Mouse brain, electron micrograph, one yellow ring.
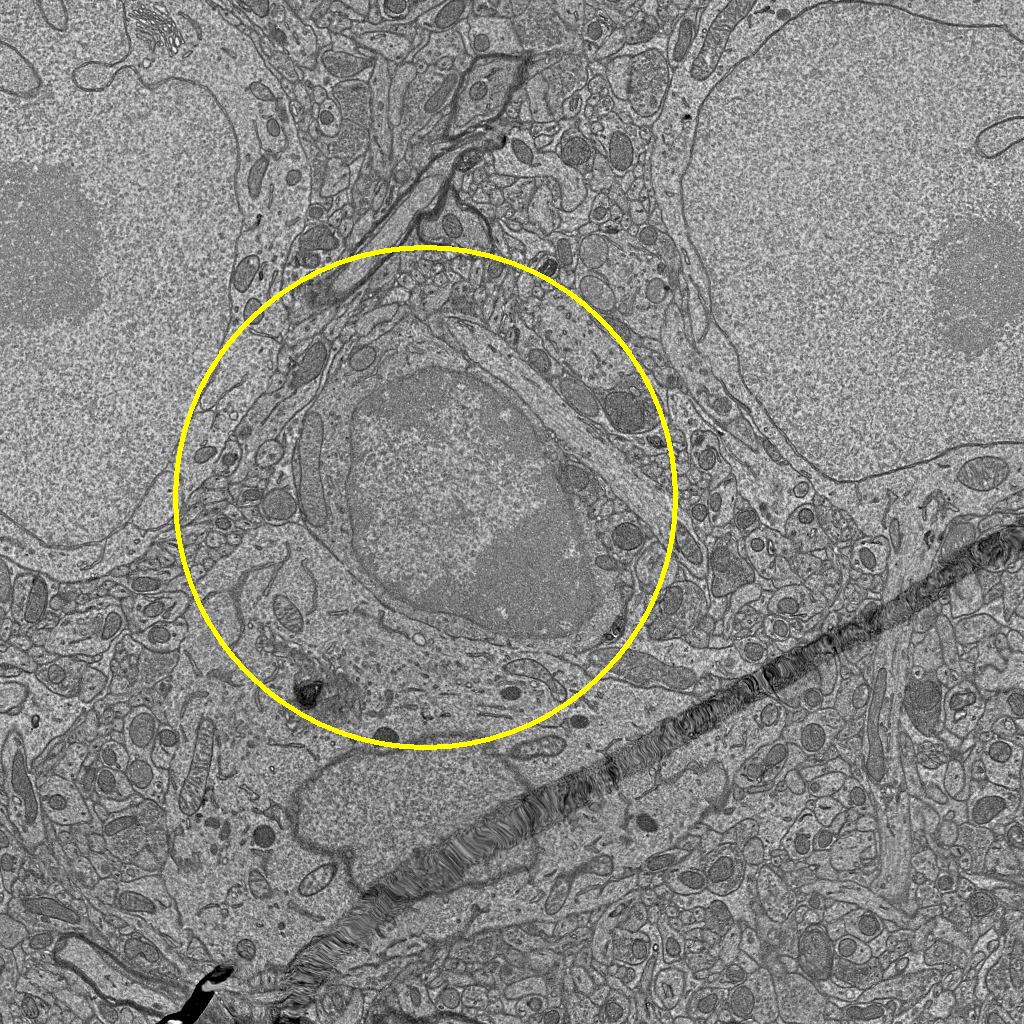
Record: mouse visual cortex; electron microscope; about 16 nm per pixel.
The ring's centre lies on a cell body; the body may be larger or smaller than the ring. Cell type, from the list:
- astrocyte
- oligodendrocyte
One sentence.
The yellow ring's centre lies on an oligodendrocyte.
